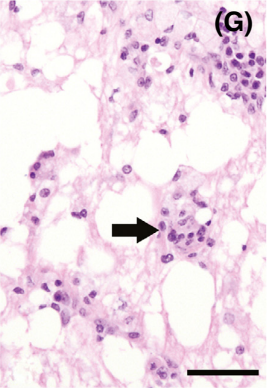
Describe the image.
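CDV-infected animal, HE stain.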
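White matter with an inflammatory lesion, broken up by many large clear vacuoles separated by thin pink strands. Small clusters of lymphocytes and macrophages with round to oval dark nuclei gather around a small vessel and lie scattered among the vacuoles.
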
